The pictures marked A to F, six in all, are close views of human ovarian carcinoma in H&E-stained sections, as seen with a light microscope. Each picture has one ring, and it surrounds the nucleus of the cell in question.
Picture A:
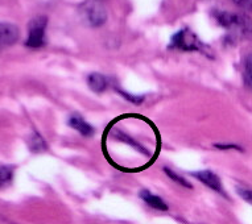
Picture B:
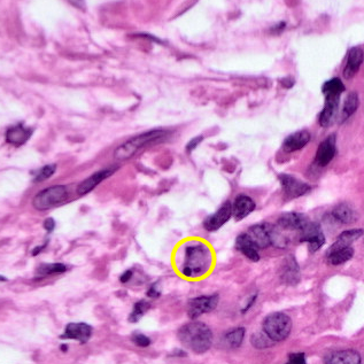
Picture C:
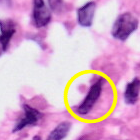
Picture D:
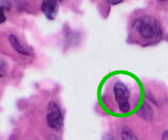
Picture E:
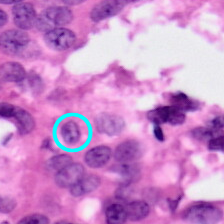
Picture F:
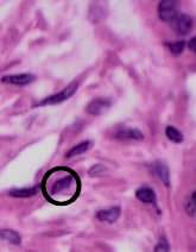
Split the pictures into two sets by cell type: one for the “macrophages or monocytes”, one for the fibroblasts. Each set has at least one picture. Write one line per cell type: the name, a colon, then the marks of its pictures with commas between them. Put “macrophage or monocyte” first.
macrophage or monocyte: B, C, D, E
fibroblast: A, F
